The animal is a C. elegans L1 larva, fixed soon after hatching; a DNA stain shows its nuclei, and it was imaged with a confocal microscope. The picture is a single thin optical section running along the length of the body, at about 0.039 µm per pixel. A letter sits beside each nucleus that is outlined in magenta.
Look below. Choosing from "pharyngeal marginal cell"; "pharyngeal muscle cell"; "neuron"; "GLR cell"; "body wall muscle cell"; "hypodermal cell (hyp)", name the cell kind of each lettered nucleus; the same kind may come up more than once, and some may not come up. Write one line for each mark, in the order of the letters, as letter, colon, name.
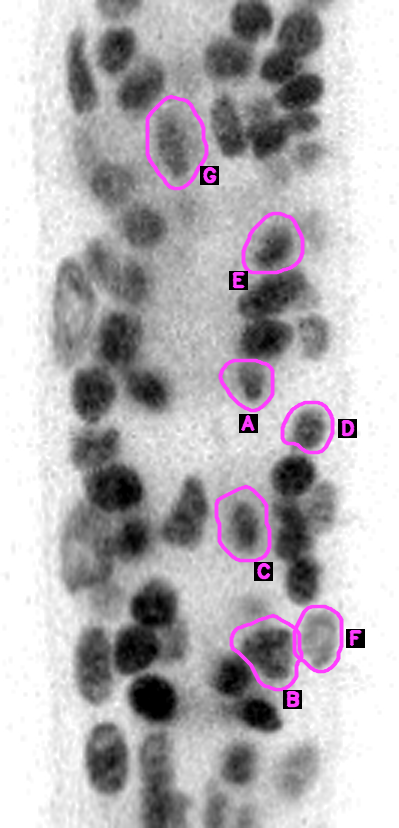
A: GLR cell
B: pharyngeal muscle cell
C: neuron
D: neuron
E: neuron
F: hypodermal cell (hyp)
G: pharyngeal marginal cell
